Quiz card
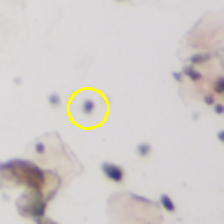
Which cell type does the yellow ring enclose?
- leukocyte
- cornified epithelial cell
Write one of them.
leukocyte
